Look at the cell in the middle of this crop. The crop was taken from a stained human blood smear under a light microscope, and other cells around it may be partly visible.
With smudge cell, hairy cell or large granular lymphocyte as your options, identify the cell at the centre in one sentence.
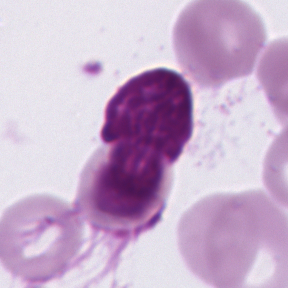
As for the central cell, it is a smudge cell.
